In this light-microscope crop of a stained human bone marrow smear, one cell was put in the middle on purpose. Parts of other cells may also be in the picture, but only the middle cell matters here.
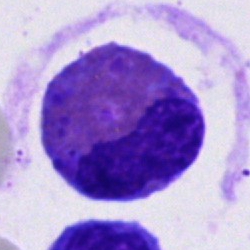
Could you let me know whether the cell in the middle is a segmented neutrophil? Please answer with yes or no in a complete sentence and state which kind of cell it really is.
No, the identification should read an eosinophil, not a segmented neutrophil, for the central cell.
